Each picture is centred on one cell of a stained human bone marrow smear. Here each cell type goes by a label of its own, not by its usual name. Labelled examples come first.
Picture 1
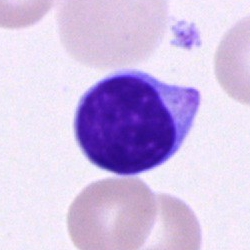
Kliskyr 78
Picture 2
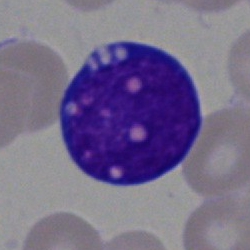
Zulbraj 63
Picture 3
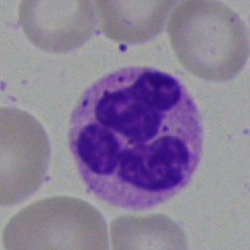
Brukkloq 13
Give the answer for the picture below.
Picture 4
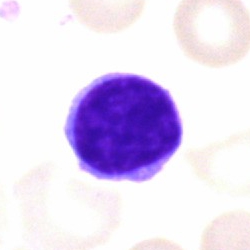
Kliskyr 78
